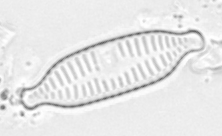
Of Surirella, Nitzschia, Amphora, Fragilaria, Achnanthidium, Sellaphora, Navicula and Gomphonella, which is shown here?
Fragilaria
